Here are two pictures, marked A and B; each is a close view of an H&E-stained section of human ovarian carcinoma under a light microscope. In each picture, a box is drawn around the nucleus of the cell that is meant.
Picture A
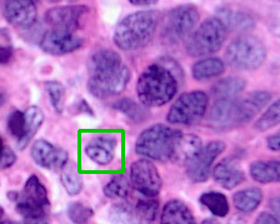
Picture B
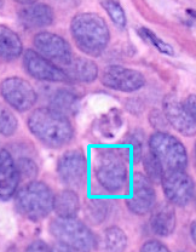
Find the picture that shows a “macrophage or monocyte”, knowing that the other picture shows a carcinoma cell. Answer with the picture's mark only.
A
